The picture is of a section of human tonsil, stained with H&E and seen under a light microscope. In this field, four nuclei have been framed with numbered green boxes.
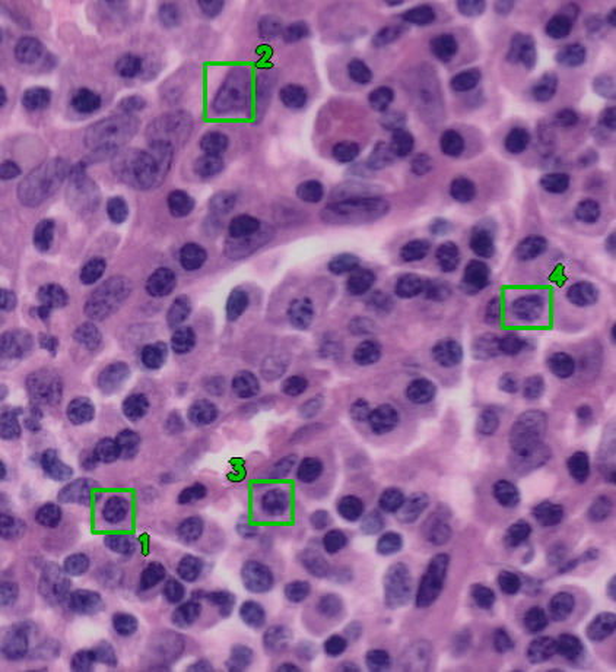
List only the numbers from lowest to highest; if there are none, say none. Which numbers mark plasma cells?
1, 3, 4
